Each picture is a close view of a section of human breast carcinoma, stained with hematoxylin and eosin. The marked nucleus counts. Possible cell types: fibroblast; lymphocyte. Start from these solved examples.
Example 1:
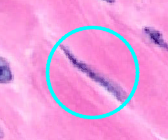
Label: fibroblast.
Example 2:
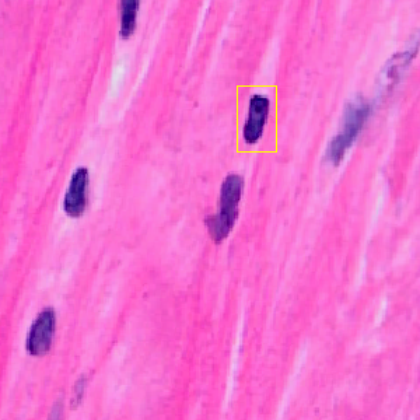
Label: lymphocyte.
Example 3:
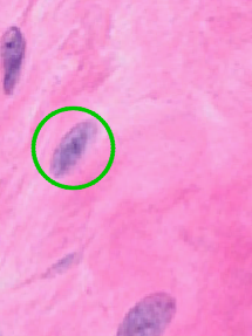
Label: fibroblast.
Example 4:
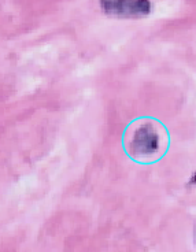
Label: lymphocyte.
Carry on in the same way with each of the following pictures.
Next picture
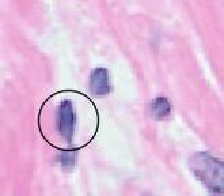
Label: lymphocyte.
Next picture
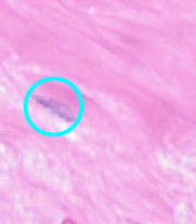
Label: fibroblast.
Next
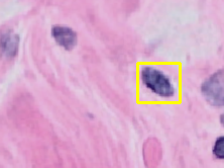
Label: lymphocyte.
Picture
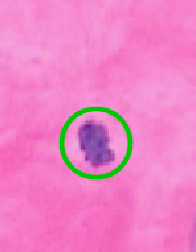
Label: lymphocyte.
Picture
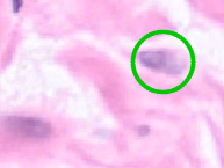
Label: fibroblast.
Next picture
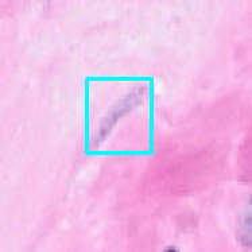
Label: fibroblast.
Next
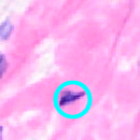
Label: fibroblast.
